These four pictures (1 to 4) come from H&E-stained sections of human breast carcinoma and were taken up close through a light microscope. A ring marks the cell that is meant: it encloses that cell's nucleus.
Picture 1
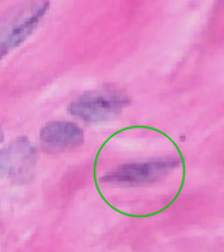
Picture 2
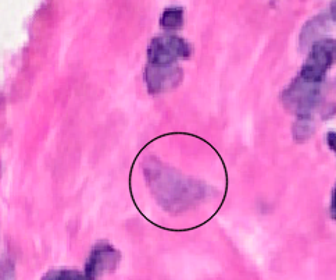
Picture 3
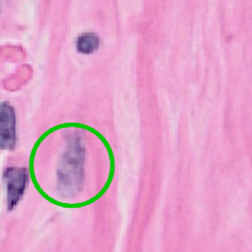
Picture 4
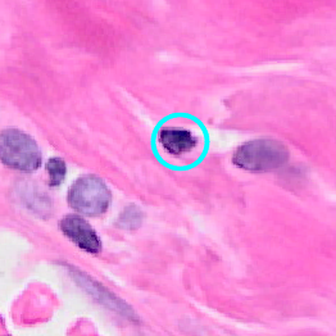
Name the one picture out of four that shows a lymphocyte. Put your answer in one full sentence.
Picture 4 is the one that shows the lymphocyte.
